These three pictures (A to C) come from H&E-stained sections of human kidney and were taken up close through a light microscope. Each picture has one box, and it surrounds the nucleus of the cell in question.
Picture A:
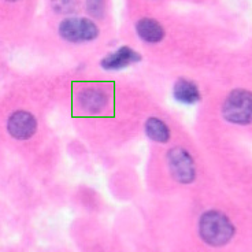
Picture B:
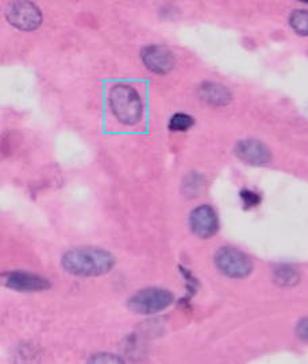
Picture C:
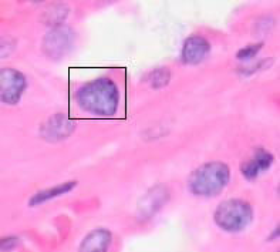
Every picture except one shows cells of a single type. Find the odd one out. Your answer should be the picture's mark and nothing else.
C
